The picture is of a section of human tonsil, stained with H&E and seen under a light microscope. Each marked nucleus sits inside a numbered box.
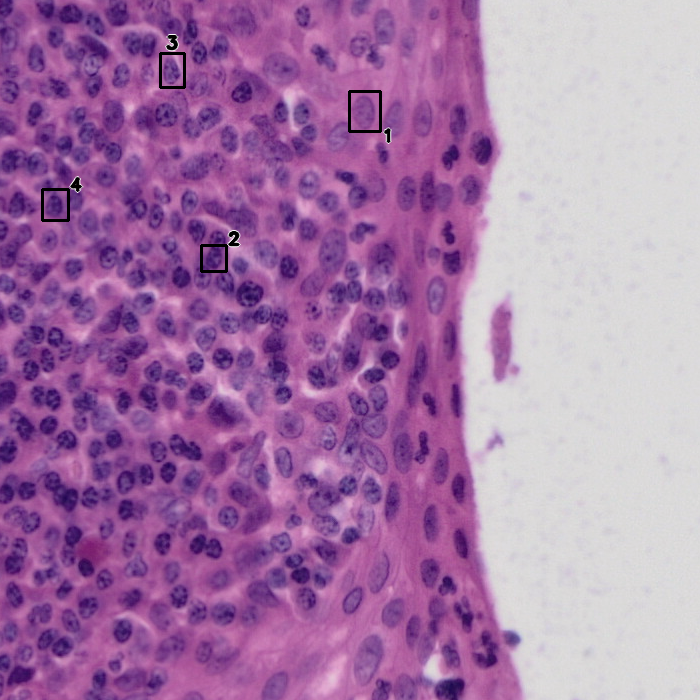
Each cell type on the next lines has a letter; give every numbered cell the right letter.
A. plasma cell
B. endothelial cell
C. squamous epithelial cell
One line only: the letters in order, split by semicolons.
C; A; A; A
